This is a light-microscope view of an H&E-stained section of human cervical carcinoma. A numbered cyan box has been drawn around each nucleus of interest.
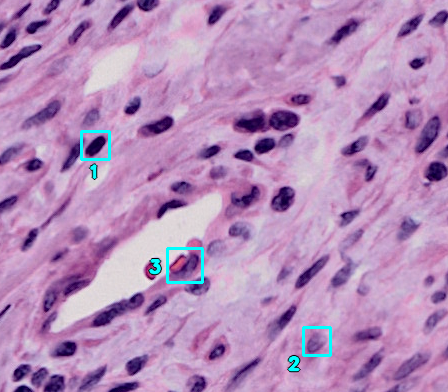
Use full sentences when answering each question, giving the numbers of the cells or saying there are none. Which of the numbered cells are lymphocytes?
Only nucleus 1 belongs to a lymphocyte; the other numbered nuclei do not.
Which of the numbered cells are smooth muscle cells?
Cell 2 is the single numbered cell that is a smooth muscle cell.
